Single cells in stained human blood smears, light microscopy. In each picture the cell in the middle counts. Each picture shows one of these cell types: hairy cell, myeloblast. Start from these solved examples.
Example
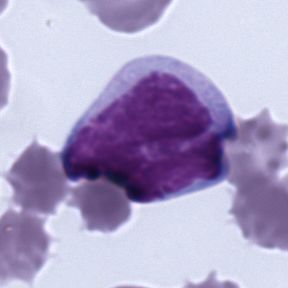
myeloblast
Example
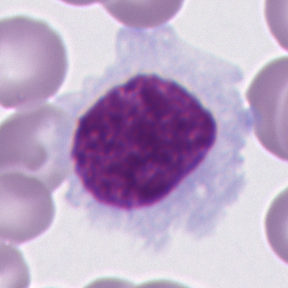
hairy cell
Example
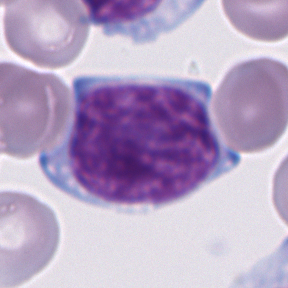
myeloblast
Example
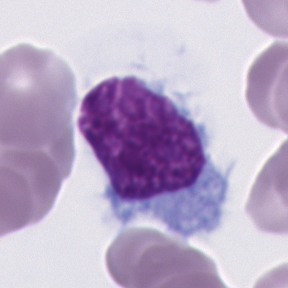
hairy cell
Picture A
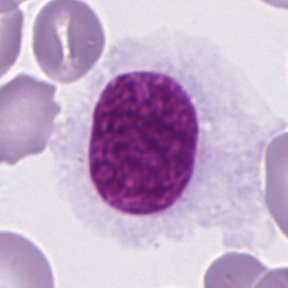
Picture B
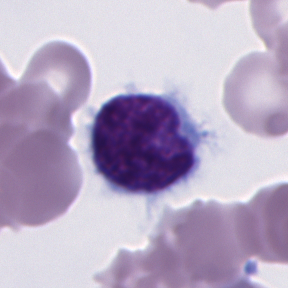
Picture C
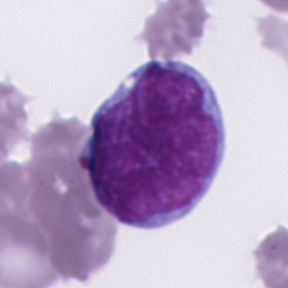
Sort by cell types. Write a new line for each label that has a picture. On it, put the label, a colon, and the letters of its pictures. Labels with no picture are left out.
hairy cell: A, B
myeloblast: C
